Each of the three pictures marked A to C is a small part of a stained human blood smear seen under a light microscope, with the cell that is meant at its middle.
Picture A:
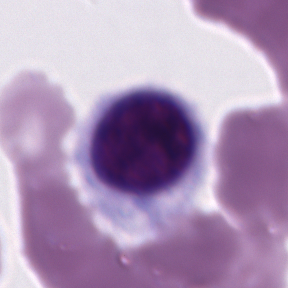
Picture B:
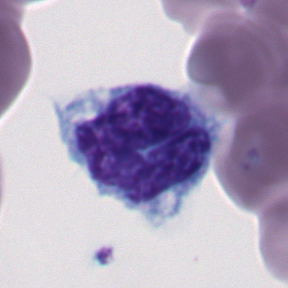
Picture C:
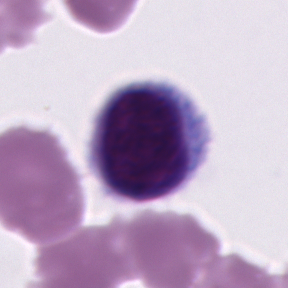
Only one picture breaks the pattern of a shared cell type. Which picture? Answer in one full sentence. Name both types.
Picture B differs, because its cell is a monocyte and the rest are hairy cells.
